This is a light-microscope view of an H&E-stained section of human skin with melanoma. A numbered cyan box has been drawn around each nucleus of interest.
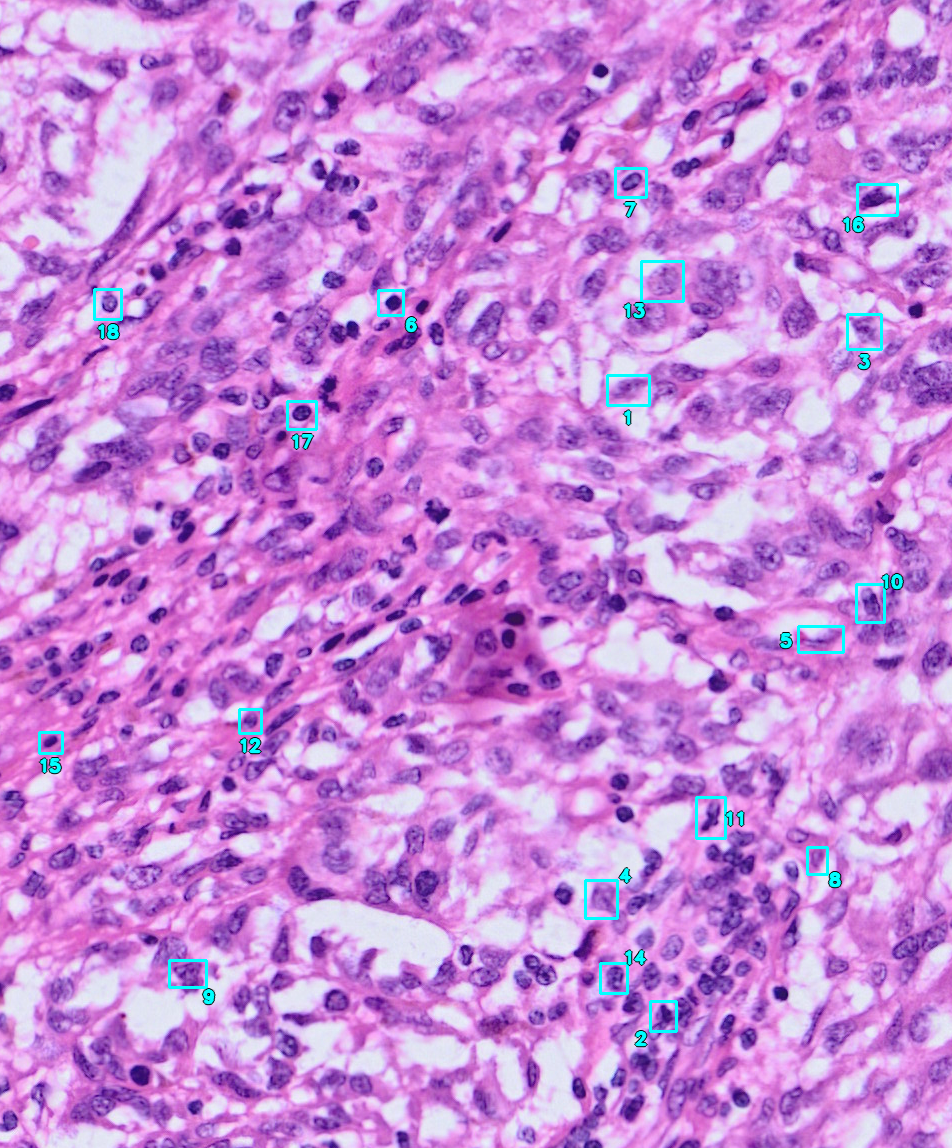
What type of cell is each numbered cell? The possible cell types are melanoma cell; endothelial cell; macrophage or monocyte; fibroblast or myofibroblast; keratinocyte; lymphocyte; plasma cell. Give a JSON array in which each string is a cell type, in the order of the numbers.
["melanoma cell", "lymphocyte", "melanoma cell", "macrophage or monocyte", "endothelial cell", "lymphocyte", "lymphocyte", "macrophage or monocyte", "melanoma cell", "lymphocyte", "lymphocyte", "lymphocyte", "melanoma cell", "lymphocyte", "lymphocyte", "melanoma cell", "lymphocyte", "lymphocyte"]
